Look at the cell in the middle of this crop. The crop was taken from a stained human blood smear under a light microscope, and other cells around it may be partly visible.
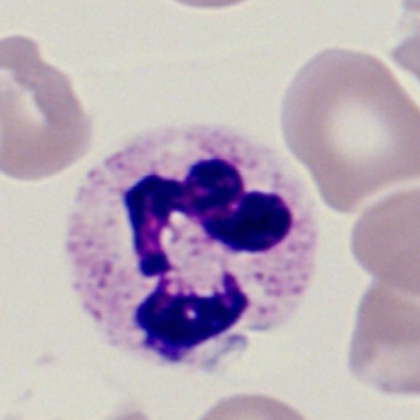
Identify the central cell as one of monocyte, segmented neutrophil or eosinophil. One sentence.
Occupying the centre of the crop is a segmented neutrophil.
